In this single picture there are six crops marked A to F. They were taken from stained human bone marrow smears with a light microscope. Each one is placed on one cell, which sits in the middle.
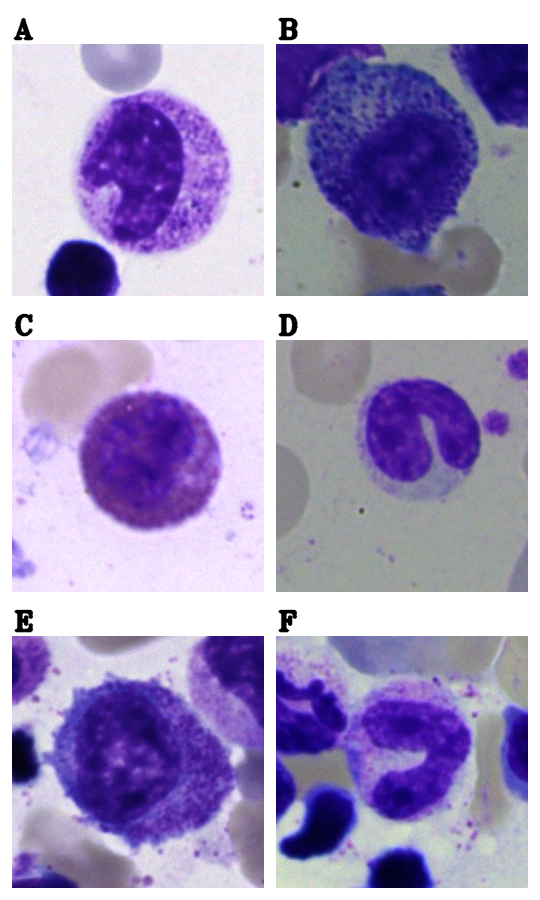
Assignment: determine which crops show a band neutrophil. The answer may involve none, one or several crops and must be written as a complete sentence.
Crops D and F feature band neutrophils as the cells at their centres.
